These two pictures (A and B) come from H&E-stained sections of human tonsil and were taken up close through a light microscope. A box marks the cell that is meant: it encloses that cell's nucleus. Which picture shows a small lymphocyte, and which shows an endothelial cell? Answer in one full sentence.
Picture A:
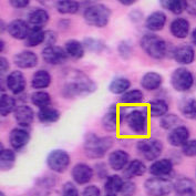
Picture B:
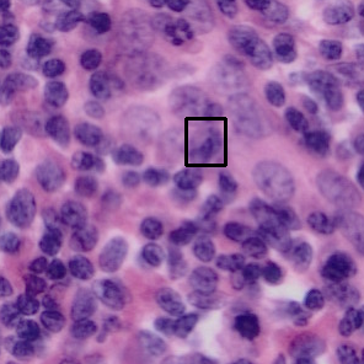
In picture A the cell is a small lymphocyte; in picture B, an endothelial cell.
